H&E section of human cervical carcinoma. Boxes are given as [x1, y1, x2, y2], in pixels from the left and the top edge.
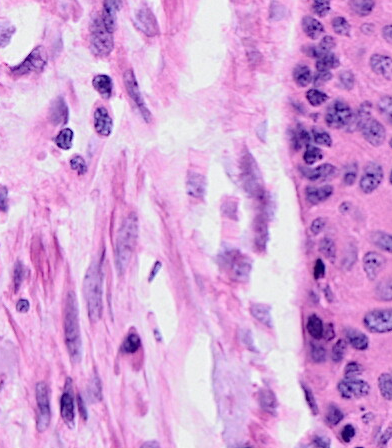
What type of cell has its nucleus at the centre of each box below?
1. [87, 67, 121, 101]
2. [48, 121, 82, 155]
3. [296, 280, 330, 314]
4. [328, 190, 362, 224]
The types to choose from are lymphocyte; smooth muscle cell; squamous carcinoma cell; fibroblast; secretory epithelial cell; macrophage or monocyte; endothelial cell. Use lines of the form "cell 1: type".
cell 1: lymphocyte
cell 2: lymphocyte
cell 3: squamous carcinoma cell
cell 4: squamous carcinoma cell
